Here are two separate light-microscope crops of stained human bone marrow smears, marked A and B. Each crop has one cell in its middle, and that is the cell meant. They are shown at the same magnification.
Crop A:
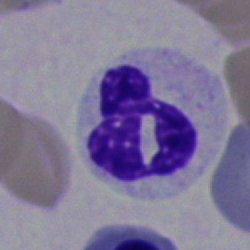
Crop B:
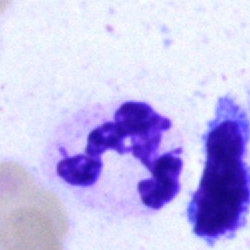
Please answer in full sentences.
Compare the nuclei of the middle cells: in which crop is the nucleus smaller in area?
Crop B shows the smaller nucleus, since that in crop A covers about 1.5 times as much area.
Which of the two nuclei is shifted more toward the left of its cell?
Seen within its cell, the nucleus in crop A lies further toward the left.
